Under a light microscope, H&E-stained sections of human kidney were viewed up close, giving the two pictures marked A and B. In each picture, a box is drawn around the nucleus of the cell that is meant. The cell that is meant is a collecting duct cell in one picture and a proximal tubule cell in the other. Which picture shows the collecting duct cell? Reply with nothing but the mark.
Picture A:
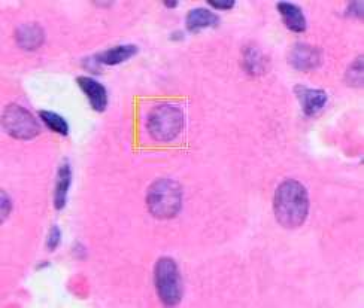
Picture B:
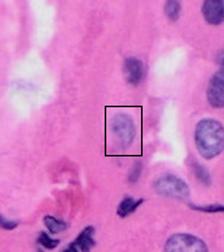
B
